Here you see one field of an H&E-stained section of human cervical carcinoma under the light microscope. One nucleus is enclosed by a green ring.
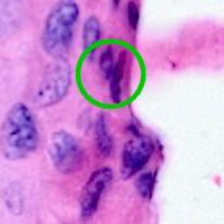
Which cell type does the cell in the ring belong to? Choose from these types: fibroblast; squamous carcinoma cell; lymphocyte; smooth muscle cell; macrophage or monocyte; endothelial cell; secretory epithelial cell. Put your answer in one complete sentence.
For cell typing purposes, the cell in the ring is a squamous carcinoma cell.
